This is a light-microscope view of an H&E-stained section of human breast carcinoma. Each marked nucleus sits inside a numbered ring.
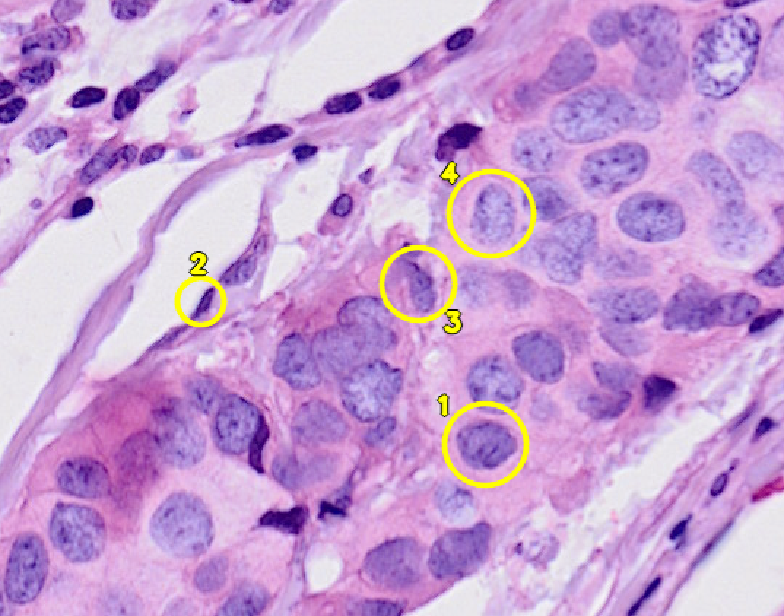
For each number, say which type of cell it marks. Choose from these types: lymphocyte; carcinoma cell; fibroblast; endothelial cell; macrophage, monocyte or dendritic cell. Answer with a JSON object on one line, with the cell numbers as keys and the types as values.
{"1": "carcinoma cell", "2": "fibroblast", "3": "carcinoma cell", "4": "carcinoma cell"}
